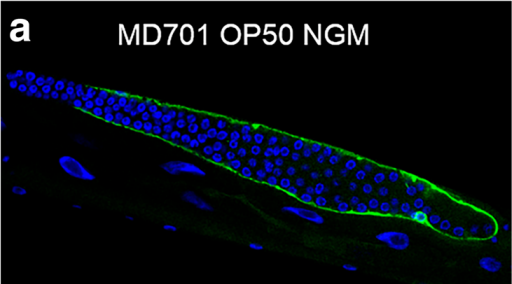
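A long tube, bordered by a thin green line, is filled with many evenly spaced, small round blue nuclei of similar size, packed closely in several rows. The tube ends in a rounded tip at the right. Near the tip, one or two small cells are ringed by green. Outside the gonad, larger, scattered oval and irregular blue nuclei of body cells lie in the surrounding tissue.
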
